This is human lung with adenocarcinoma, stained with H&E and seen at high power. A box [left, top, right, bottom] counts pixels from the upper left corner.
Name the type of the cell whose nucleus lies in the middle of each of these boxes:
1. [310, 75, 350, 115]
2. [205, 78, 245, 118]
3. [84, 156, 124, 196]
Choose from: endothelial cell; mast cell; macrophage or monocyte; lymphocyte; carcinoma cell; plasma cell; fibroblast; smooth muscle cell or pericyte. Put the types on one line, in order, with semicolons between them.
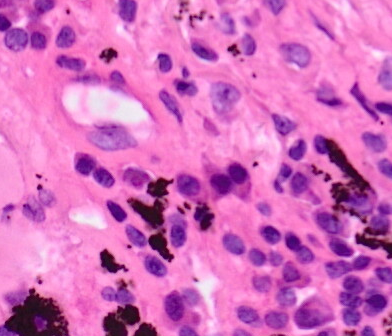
plasma cell; fibroblast; lymphocyte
